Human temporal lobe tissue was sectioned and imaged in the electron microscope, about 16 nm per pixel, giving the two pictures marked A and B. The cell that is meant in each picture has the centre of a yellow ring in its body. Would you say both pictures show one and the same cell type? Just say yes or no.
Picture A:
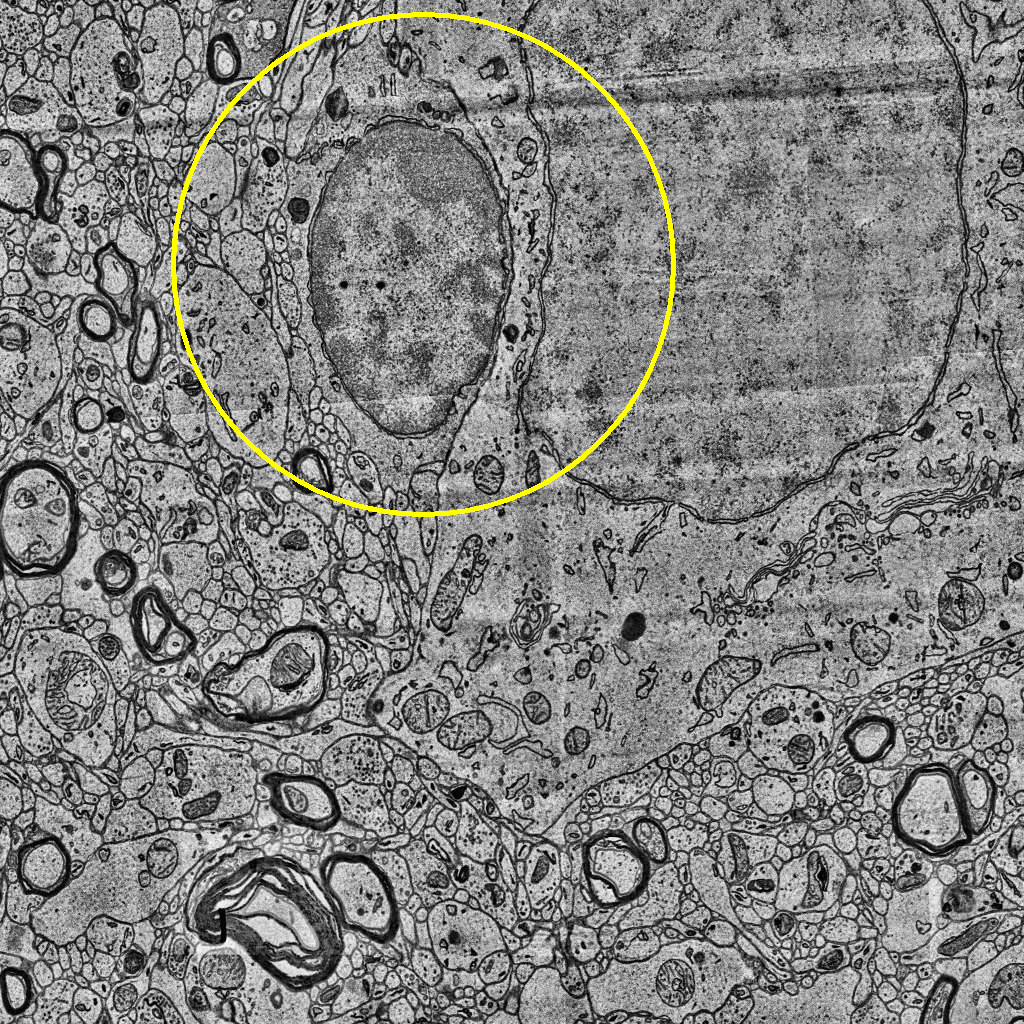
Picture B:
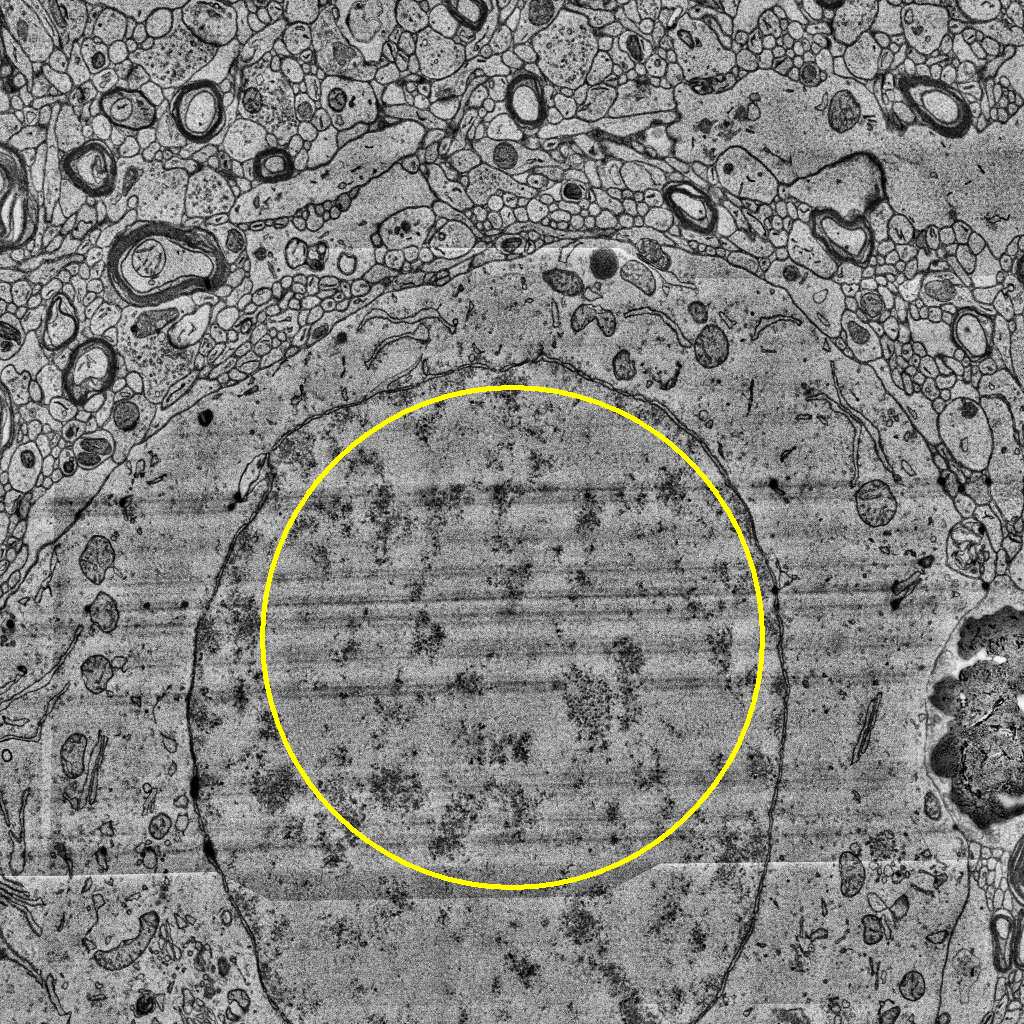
no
